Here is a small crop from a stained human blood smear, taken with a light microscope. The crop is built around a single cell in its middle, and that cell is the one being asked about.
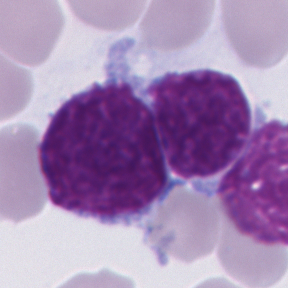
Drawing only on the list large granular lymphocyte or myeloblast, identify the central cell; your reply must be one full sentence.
The cell in the middle of the field of view is a myeloblast.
